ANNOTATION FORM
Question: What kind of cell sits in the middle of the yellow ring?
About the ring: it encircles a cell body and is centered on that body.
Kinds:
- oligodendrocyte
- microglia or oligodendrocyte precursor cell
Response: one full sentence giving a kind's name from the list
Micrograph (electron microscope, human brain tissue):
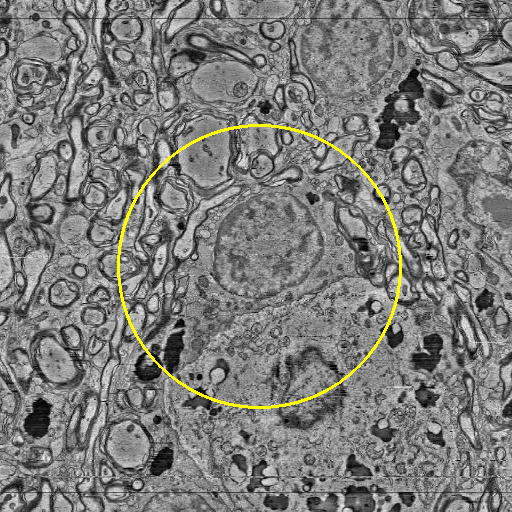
The kind of cell found at the center of the yellow ring in the micrograph is an oligodendrocyte.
